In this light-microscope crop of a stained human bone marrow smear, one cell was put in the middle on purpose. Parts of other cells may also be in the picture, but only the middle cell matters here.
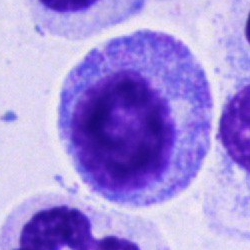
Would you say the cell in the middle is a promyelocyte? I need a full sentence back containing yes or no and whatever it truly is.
Yes, the central cell of this crop corresponds to a promyelocyte.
